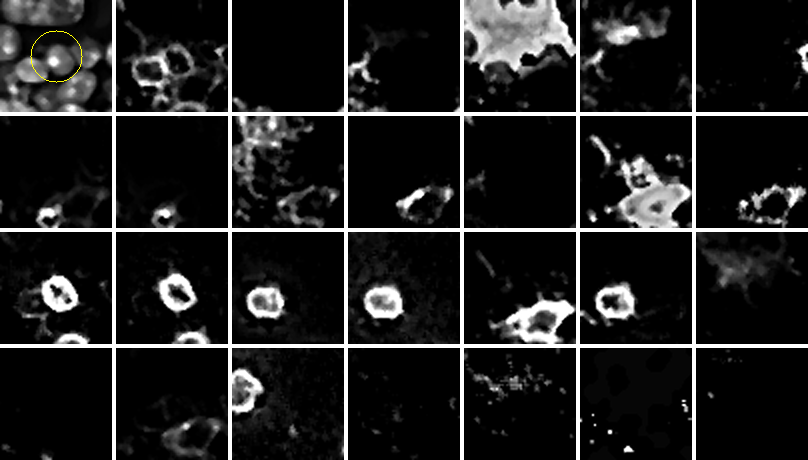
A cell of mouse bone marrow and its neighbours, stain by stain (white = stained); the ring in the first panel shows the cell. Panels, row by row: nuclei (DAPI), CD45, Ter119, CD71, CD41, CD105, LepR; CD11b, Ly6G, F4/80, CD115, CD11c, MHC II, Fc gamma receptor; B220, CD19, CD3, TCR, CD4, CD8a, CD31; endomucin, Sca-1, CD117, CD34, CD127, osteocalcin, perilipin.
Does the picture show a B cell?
Yes.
